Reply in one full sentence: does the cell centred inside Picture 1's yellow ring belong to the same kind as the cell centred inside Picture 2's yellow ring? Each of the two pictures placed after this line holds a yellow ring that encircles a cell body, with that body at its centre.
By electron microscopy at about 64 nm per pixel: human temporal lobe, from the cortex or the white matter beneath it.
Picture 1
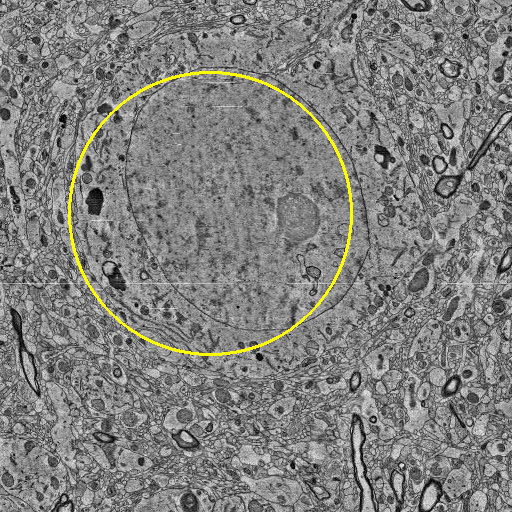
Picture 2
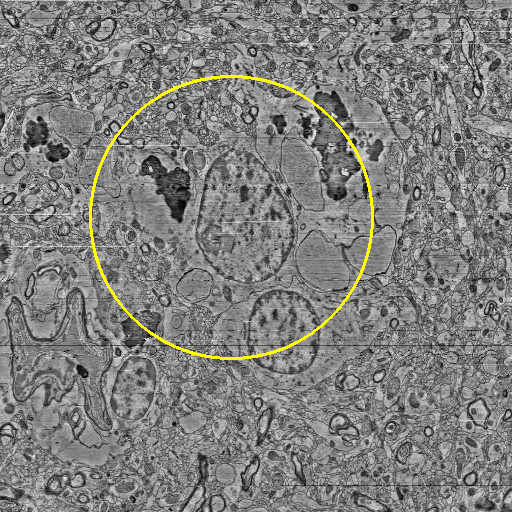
No, the ring-centred cells in Picture 1 and Picture 2 are of two separate kinds.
